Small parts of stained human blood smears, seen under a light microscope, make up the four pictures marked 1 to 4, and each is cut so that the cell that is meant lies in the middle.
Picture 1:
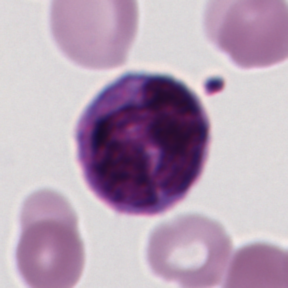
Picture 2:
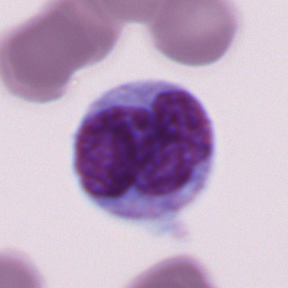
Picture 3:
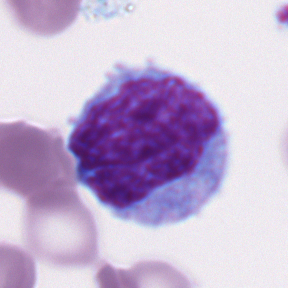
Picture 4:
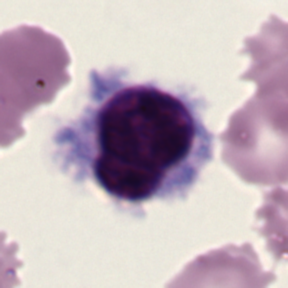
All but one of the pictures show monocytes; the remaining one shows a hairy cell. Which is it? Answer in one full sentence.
The picture with the hairy cell is 4.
